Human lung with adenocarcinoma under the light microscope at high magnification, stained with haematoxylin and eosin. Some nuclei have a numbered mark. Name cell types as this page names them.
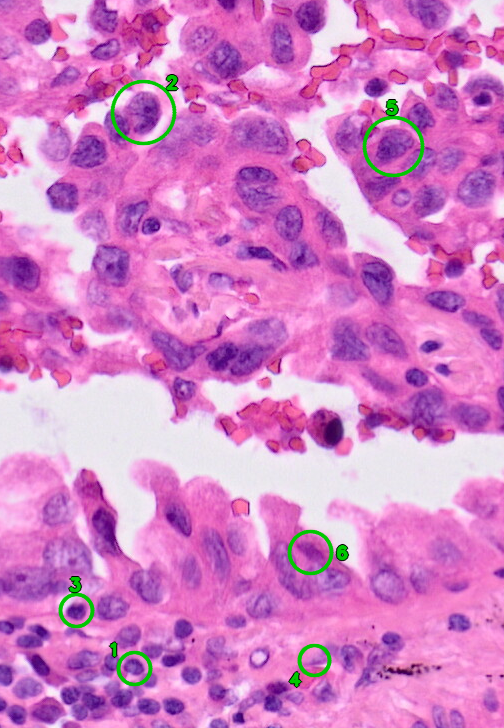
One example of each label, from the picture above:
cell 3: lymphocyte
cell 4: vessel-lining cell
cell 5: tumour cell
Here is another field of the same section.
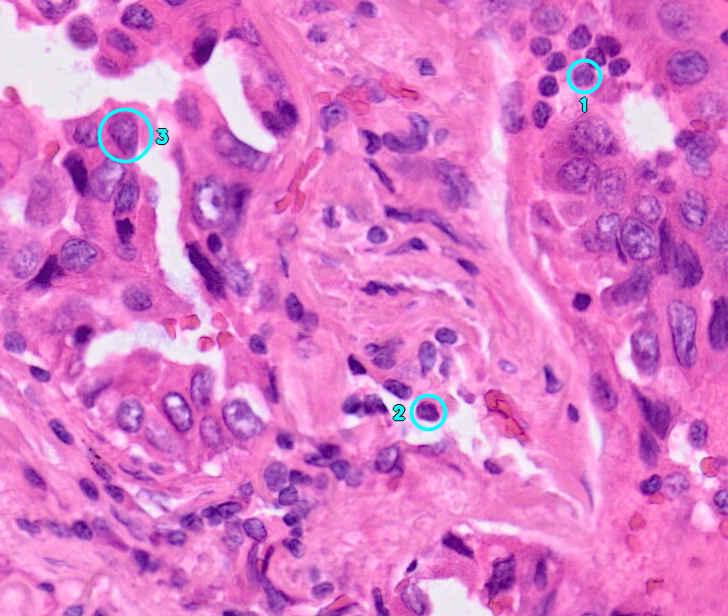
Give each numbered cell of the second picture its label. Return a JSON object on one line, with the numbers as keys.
{"1": "lymphocyte", "2": "lymphocyte", "3": "tumour cell"}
